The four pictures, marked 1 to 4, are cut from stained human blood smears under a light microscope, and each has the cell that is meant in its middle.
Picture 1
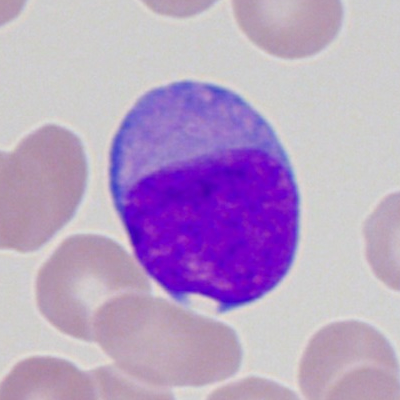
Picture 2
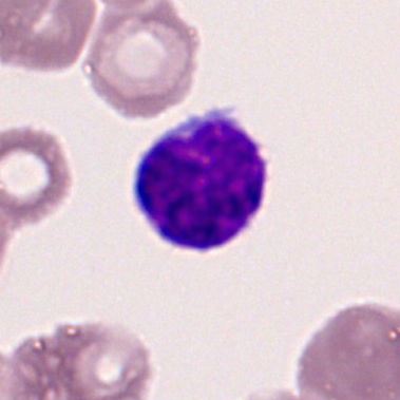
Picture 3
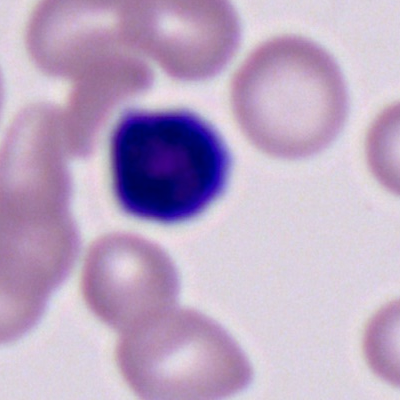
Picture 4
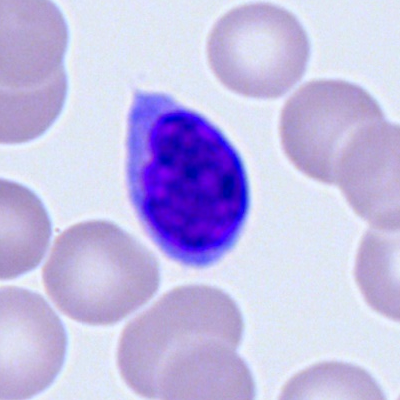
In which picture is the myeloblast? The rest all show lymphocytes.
1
